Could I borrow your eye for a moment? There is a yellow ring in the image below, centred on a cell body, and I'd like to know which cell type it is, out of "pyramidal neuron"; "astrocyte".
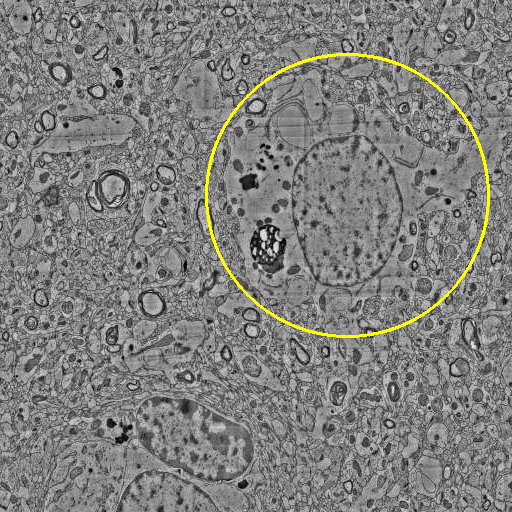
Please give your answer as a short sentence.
The cell body at the centre is that of an astrocyte.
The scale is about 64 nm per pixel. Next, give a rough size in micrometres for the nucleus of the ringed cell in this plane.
Approximately 10 x 7 micrometres in this plane.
